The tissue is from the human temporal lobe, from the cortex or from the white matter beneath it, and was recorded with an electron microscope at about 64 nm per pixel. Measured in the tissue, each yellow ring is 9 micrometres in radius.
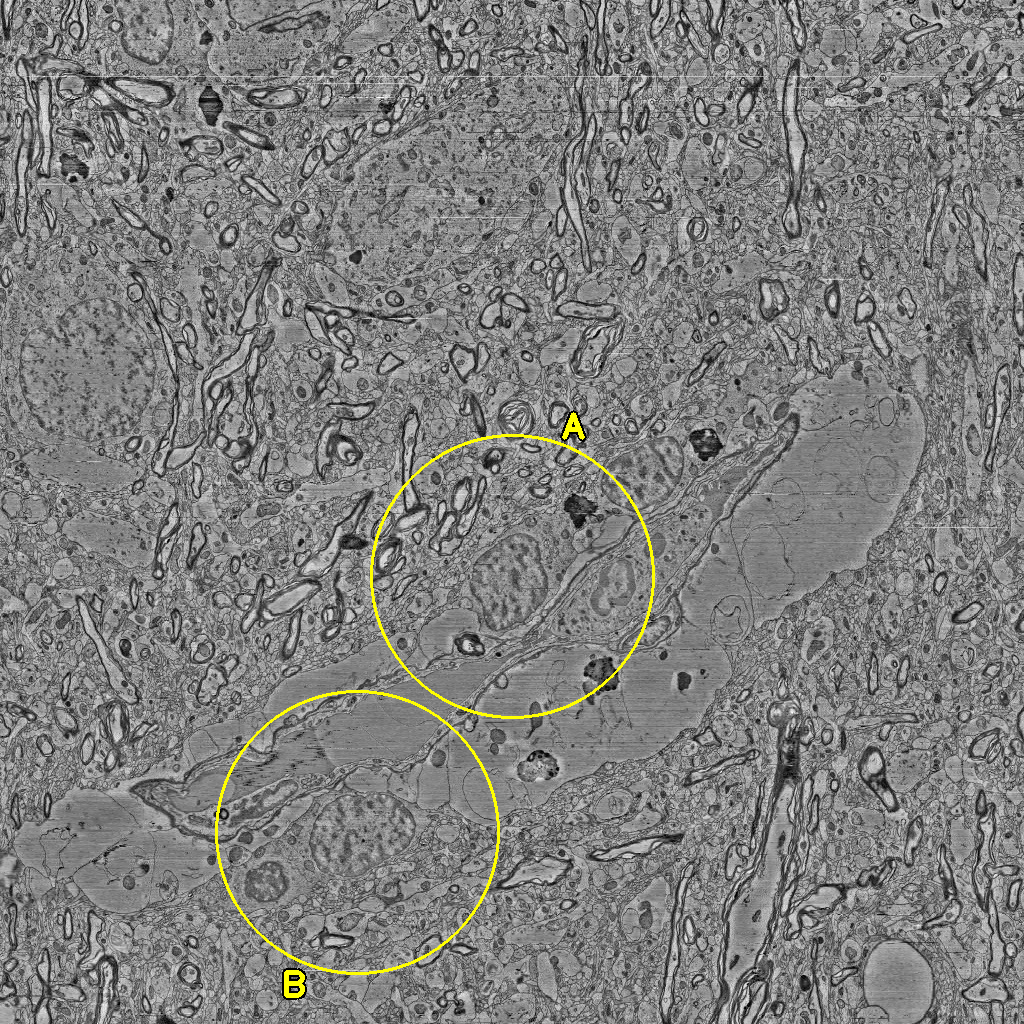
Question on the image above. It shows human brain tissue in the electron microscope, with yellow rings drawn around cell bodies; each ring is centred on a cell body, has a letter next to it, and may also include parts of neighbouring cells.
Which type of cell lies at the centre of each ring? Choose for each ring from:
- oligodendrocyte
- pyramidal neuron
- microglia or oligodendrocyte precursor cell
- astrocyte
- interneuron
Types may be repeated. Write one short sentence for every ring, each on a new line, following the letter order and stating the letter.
Ring A has been drawn around an oligodendrocyte.
Ring B has been drawn around an oligodendrocyte.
